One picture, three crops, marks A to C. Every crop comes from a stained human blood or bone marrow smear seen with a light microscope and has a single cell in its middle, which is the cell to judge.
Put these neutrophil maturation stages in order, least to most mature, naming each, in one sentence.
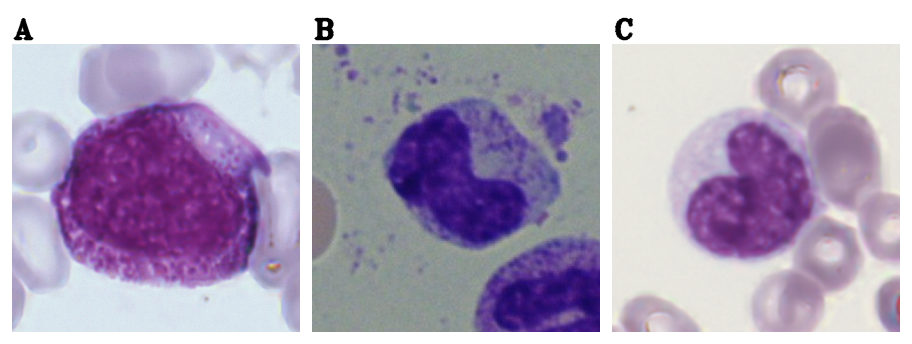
Placed in order from least to most mature, they run crop A (a promyelocyte), crop C (a metamyelocyte) and crop B (a band neutrophil).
